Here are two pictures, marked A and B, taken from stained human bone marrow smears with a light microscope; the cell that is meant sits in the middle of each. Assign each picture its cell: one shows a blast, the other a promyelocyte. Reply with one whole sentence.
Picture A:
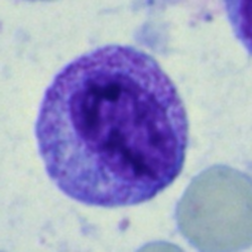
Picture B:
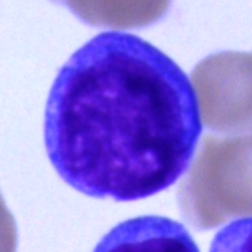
Picture B shows a blast, while picture A shows a promyelocyte.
